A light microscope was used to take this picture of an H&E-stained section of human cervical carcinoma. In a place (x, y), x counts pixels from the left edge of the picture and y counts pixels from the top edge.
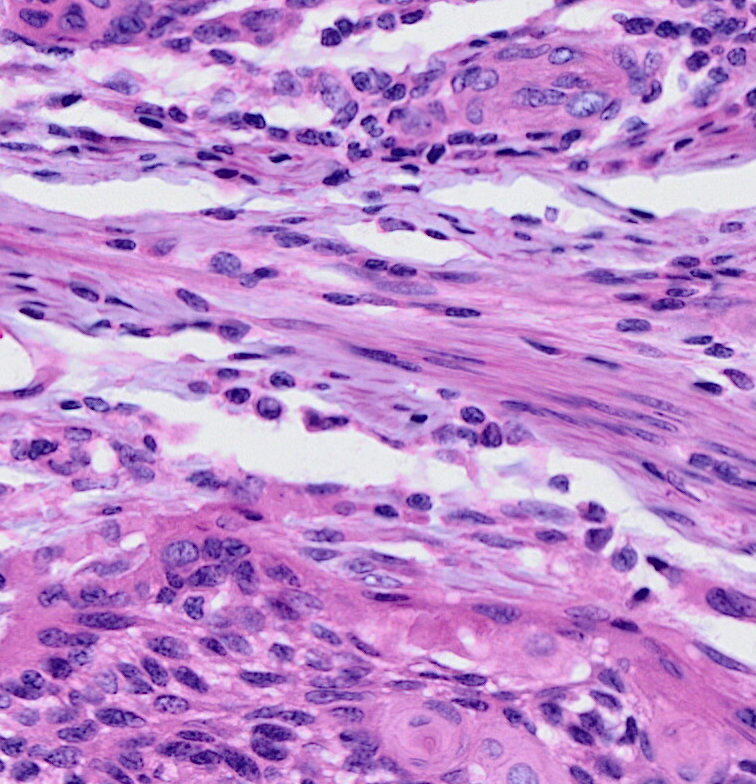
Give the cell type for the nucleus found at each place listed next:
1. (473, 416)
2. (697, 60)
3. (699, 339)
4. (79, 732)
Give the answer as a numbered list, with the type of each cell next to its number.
1. lymphocyte
2. lymphocyte
3. lymphocyte
4. squamous carcinoma cell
